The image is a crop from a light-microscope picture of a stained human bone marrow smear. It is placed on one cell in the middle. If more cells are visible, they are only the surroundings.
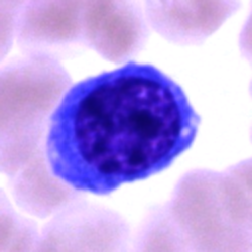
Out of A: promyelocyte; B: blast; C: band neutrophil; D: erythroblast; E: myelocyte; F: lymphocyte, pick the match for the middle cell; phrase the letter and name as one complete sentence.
Identification: the cell in the middle is an erythroblast, matching option D.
